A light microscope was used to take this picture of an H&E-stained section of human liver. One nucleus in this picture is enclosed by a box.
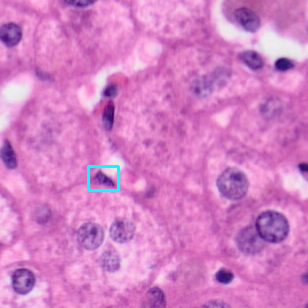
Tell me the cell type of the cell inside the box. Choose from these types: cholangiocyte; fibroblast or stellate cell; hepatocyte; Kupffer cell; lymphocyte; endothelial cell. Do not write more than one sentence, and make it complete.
Labelled by cell type, the cell inside the box is an endothelial cell.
